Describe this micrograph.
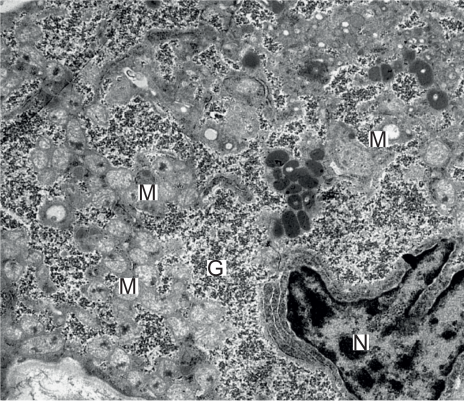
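The nucleus has dense dark chromatin along its envelope and in clumps. The cytoplasm is crowded with numerous round to oval mitochondria showing internal cristae. Between them lie wide fields of small dark granules. Large lipid droplets are absent, though a cluster of small dark round bodies lies near the nucleus.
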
